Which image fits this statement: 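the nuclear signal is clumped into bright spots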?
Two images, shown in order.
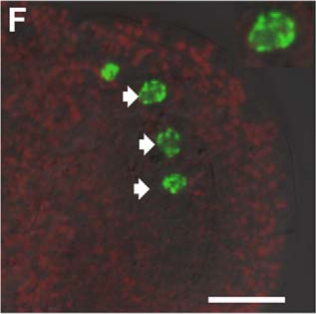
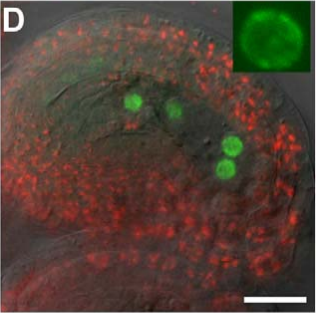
the first image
